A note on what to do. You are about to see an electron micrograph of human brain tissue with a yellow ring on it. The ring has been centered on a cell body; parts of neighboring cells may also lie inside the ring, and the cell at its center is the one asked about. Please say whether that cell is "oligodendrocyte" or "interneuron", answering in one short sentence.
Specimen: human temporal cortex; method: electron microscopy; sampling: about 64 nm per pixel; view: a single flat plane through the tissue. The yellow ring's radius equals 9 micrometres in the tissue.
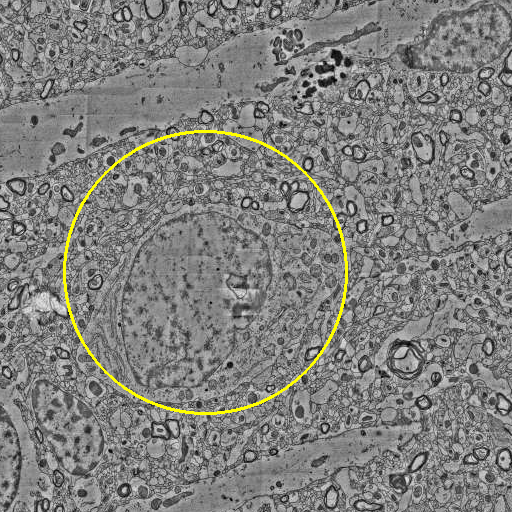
The yellow ring sits on an interneuron.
